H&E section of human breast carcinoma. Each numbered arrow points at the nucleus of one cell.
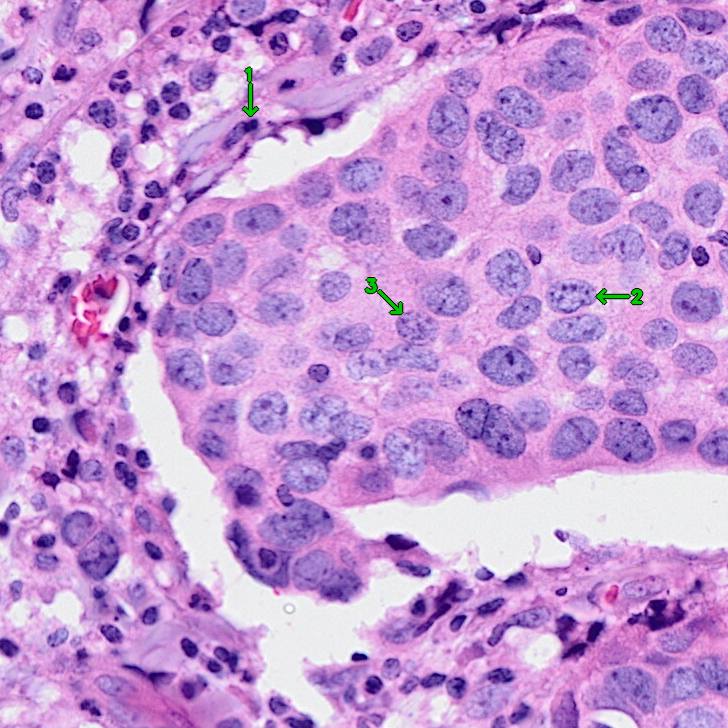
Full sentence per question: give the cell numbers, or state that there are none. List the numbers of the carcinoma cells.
The cells referred to by the numbers 2 and 3 are carcinoma cells.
